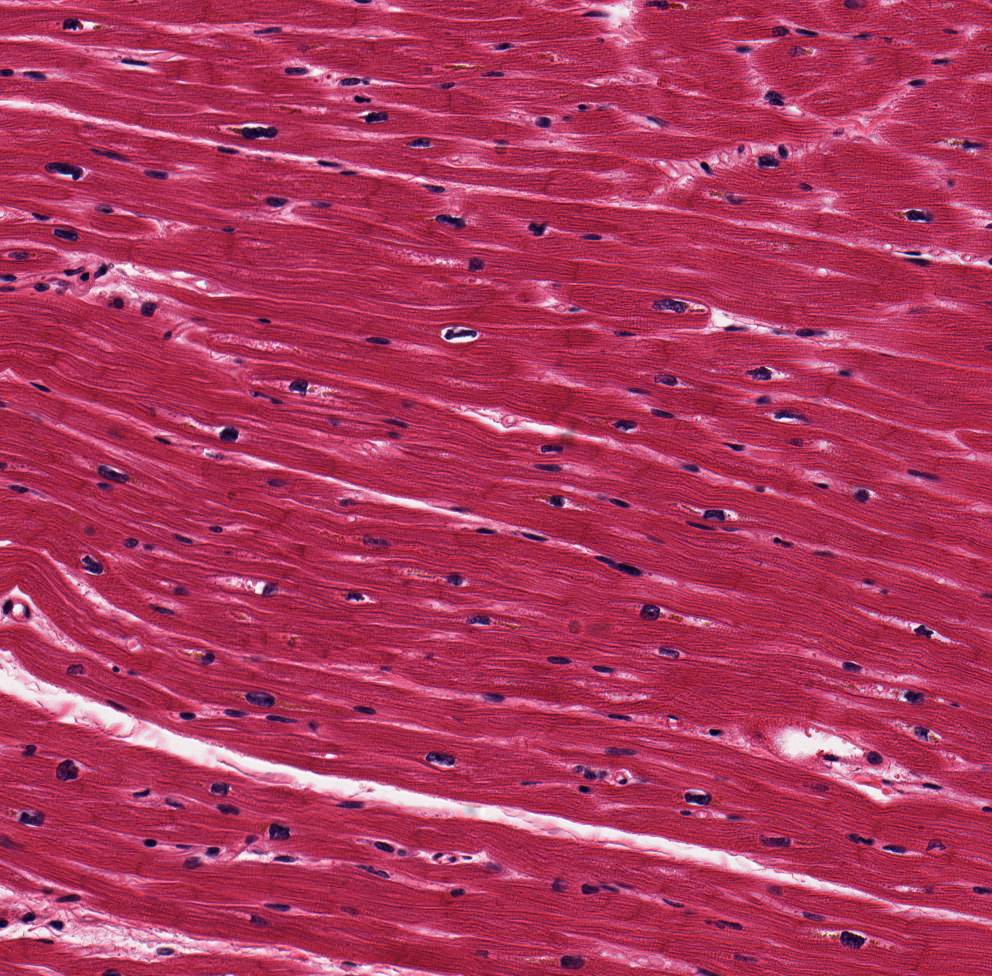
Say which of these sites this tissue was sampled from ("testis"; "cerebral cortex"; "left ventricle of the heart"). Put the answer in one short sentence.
The site this tissue was sampled from is the left ventricle of the heart.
